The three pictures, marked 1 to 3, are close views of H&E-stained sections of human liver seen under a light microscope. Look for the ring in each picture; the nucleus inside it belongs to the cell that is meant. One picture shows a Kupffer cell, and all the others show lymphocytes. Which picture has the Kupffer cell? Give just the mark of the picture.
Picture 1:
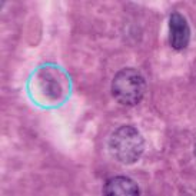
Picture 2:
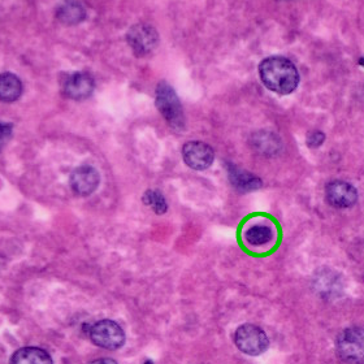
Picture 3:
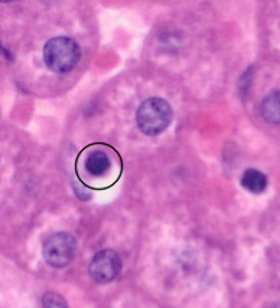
1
